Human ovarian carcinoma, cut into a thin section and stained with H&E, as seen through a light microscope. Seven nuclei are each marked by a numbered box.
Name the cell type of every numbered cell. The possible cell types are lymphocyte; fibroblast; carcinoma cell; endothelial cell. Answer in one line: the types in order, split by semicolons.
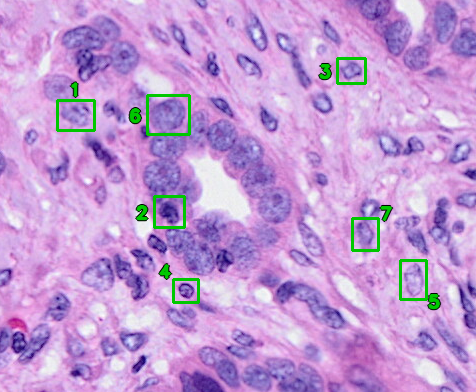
fibroblast; lymphocyte; fibroblast; lymphocyte; fibroblast; carcinoma cell; fibroblast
